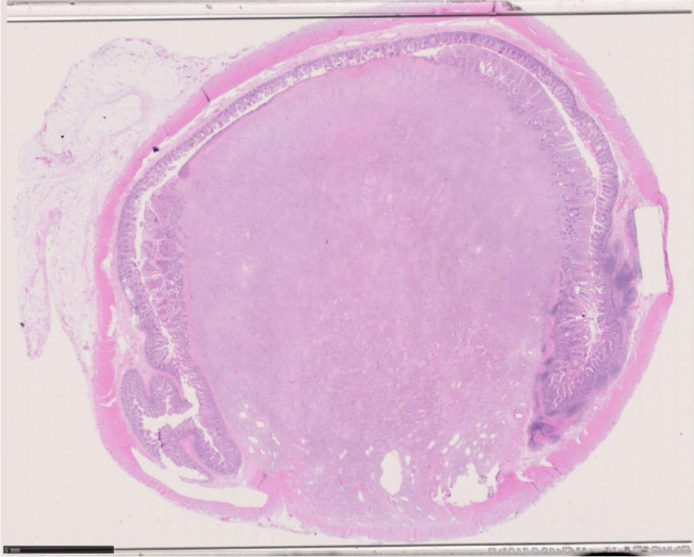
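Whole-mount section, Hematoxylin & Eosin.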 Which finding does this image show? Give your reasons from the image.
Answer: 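Complete obstruction of the lumen. A ring of bowel wall with mucosa lining its inner side surrounds the section. A large pale pink mass fills the entire central space inside the mucosa. Almost no open space is left between the mass and the mucosal lining.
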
